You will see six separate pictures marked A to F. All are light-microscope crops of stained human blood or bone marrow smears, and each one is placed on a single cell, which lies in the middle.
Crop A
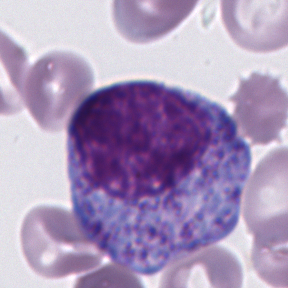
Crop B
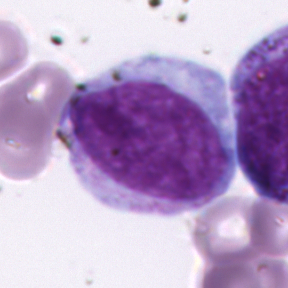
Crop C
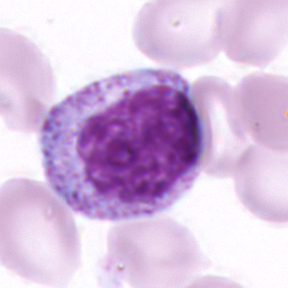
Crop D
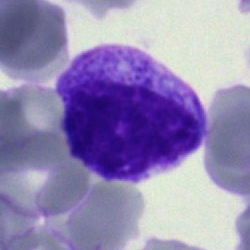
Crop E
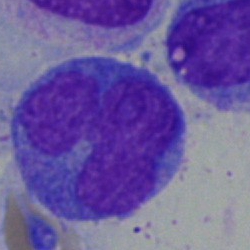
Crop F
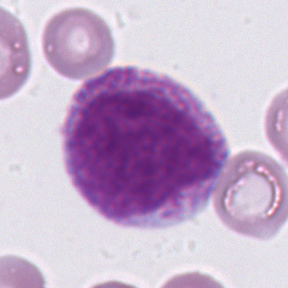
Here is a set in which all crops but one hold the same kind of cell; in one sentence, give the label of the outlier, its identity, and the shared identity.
Crop E is the odd one out, being a monocyte, while all the other crops show myelocytes.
